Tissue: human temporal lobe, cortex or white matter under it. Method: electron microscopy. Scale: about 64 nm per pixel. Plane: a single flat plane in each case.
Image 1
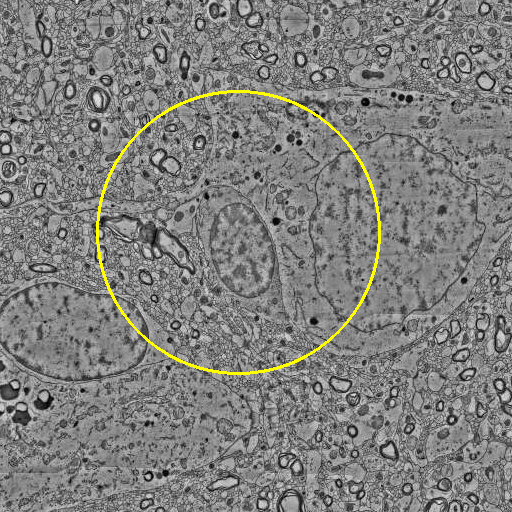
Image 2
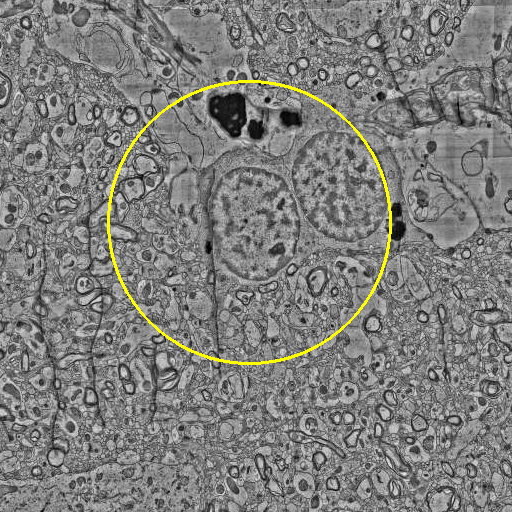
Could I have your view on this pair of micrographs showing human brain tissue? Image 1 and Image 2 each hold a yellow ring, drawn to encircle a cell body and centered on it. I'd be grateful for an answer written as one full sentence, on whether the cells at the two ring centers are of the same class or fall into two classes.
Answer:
The cells at the centers of the two rings are of the same class.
